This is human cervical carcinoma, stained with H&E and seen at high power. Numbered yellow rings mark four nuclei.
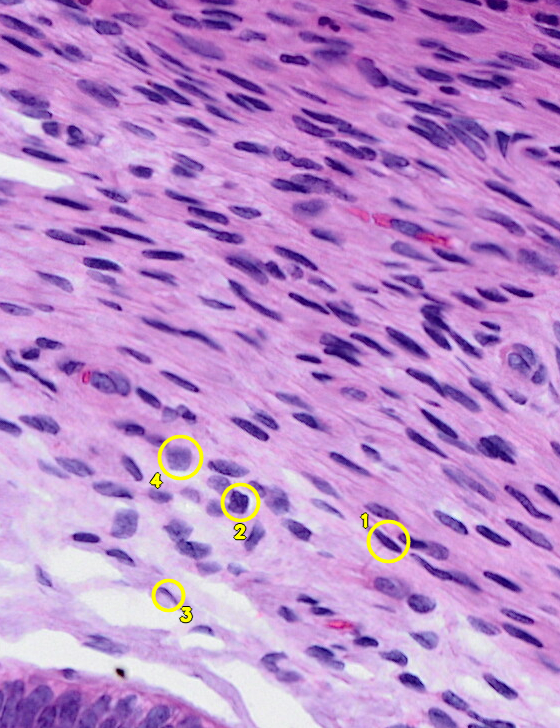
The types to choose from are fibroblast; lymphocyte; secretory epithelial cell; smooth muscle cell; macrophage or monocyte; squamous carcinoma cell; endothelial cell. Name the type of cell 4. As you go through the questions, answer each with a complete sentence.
Heads up, the cell numbered 4 is a fibroblast.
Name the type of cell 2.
In the tissue shown, cell 2 is a lymphocyte.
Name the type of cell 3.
The one labeled 3 is a fibroblast, to put it simply.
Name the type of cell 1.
Nucleus 1 in this section belongs to a fibroblast.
